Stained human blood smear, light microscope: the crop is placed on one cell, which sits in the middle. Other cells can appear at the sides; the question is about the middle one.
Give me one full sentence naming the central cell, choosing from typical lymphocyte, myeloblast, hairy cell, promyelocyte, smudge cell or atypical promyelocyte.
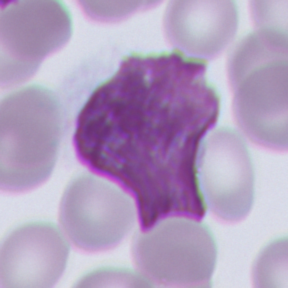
The cell that lies at the centre of the crop is a smudge cell.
